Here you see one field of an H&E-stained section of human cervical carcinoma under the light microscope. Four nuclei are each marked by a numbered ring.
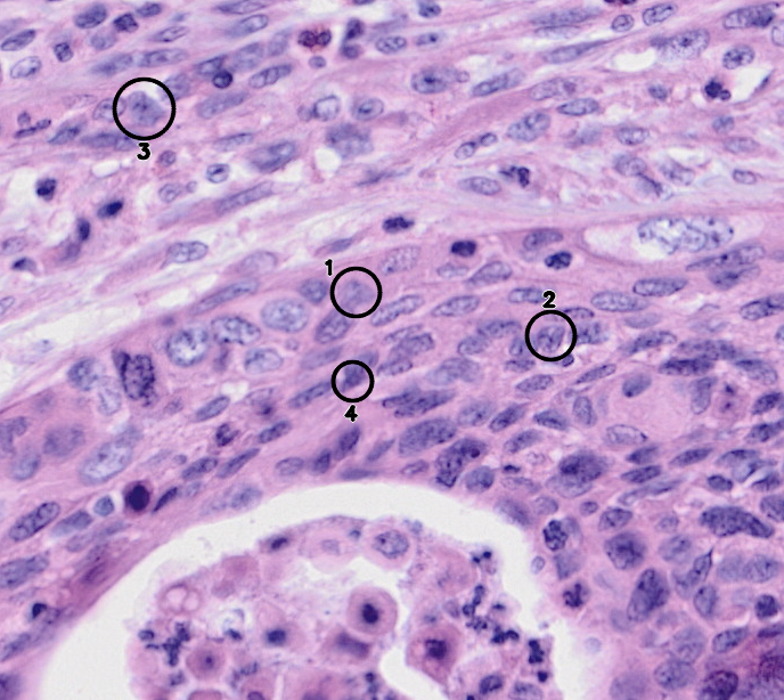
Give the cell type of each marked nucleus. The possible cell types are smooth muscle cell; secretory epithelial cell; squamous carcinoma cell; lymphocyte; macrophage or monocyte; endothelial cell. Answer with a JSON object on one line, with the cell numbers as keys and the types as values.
{"1": "squamous carcinoma cell", "2": "squamous carcinoma cell", "3": "endothelial cell", "4": "squamous carcinoma cell"}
